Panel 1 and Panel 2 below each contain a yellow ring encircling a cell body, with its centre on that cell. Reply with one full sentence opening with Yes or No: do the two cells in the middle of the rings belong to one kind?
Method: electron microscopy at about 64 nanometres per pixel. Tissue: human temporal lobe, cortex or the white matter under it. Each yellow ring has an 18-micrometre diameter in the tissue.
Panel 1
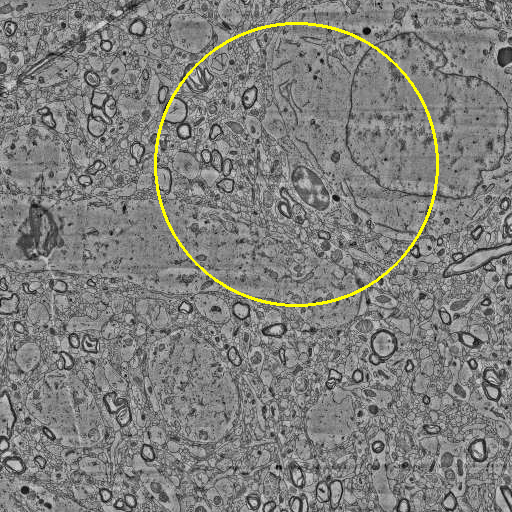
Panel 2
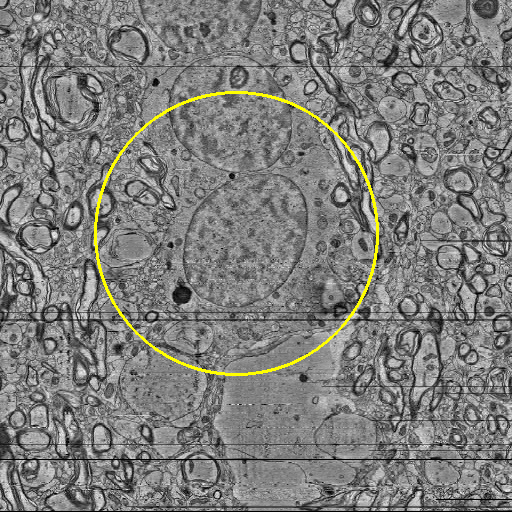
No, the cells at the middle of the Panel 1 ring and the Panel 2 ring are of two kinds.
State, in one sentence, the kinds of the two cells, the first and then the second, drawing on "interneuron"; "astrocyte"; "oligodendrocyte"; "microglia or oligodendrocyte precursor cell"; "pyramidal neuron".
The ring in the second picture is centred on an oligodendrocyte, the ring in the first on a microglial cell or oligodendrocyte precursor cell.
